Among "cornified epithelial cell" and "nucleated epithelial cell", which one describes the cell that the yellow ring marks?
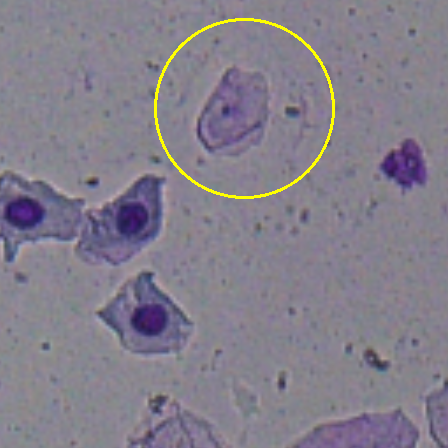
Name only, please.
cornified epithelial cell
